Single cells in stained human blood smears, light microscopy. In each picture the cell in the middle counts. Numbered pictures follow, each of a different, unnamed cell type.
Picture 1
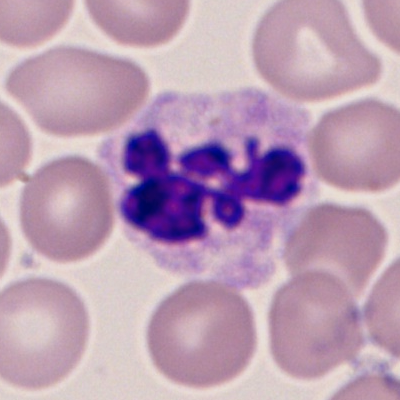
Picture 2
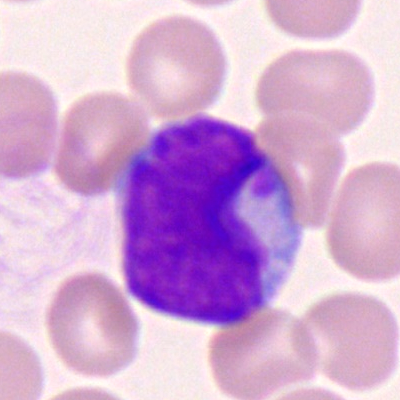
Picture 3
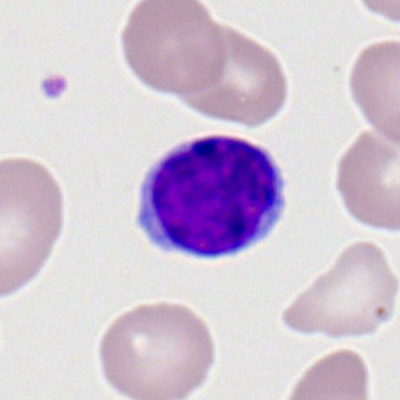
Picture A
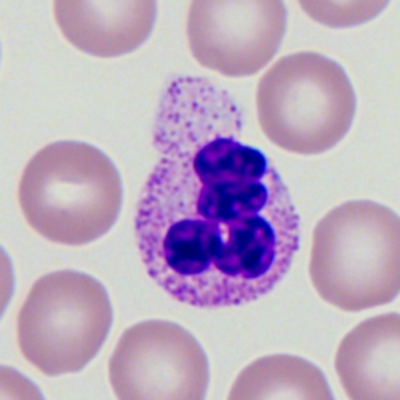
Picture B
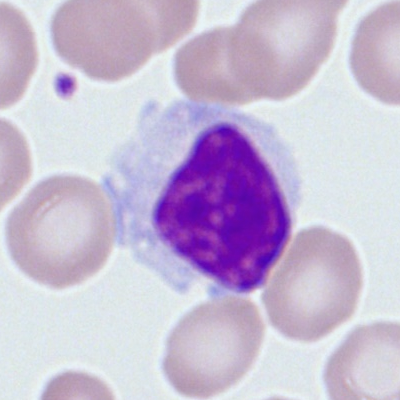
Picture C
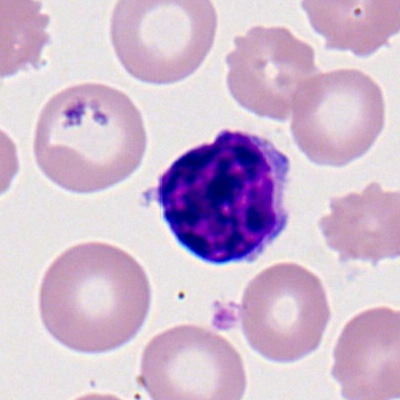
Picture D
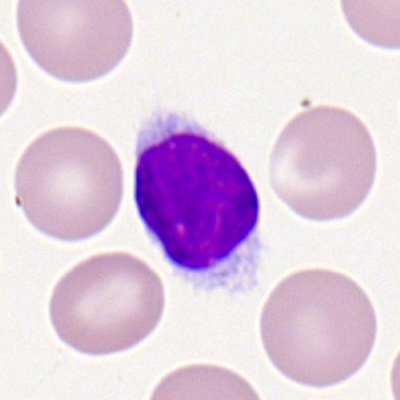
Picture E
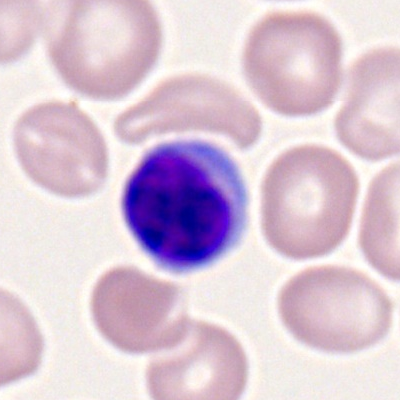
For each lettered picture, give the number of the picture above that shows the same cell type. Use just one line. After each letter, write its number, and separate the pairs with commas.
A 1, B 3, C 3, D 3, E 3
